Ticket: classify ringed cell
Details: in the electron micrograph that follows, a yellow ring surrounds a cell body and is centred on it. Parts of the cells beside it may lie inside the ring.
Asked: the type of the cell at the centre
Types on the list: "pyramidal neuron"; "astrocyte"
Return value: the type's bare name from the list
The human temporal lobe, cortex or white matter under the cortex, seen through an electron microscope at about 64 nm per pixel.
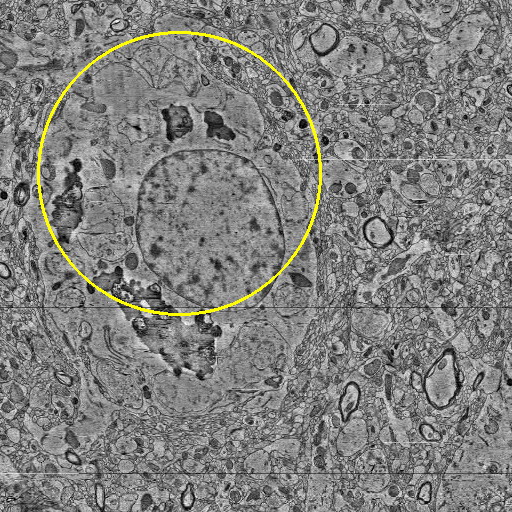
astrocyte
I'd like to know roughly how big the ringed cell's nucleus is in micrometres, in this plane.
In this plane the nucleus measures roughly 11 by 9 micrometers.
